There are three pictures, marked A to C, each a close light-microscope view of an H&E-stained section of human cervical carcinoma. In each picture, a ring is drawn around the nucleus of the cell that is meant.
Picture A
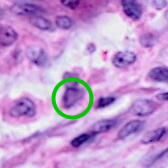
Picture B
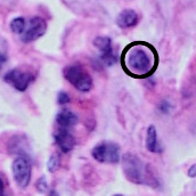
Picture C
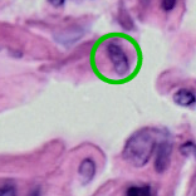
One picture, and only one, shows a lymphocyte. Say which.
B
